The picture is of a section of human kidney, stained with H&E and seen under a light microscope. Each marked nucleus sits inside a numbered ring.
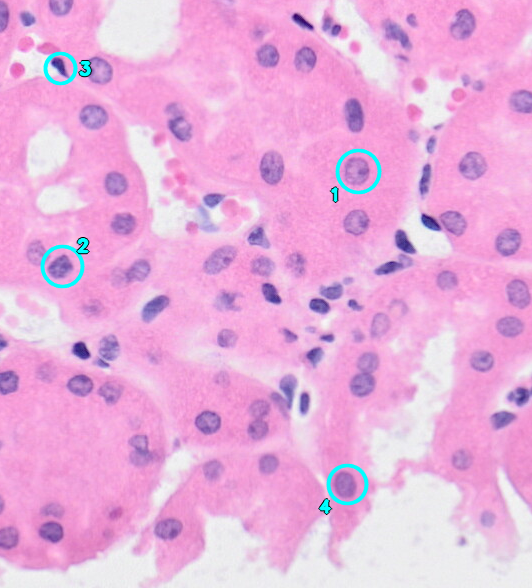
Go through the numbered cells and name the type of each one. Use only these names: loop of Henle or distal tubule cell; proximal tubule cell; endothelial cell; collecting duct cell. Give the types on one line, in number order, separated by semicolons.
proximal tubule cell; proximal tubule cell; endothelial cell; proximal tubule cell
